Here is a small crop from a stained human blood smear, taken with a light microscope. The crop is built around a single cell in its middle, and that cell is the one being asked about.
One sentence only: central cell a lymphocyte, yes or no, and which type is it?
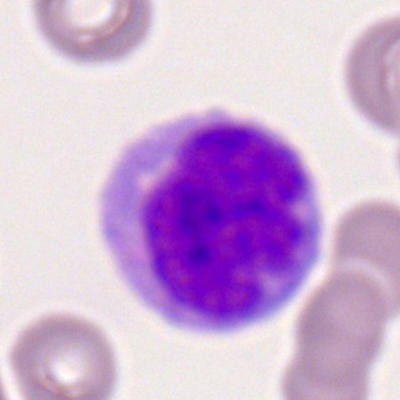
No, in the centre of the crop lies a monocyte, not a lymphocyte.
